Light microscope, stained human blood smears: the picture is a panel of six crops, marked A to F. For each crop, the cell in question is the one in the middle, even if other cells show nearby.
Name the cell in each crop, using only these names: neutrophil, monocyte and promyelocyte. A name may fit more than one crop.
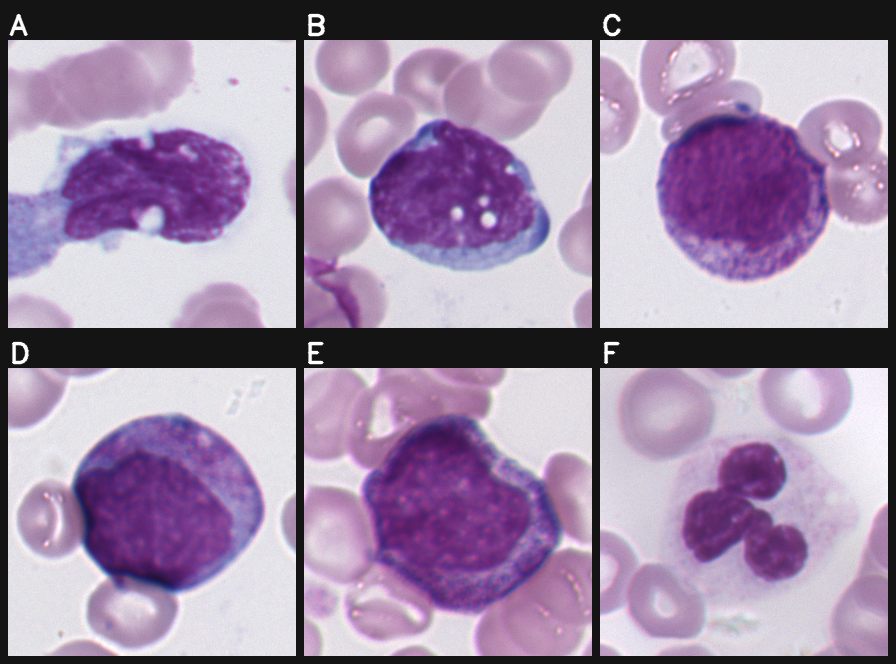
A: monocyte
B: monocyte
C: promyelocyte
D: promyelocyte
E: promyelocyte
F: neutrophil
